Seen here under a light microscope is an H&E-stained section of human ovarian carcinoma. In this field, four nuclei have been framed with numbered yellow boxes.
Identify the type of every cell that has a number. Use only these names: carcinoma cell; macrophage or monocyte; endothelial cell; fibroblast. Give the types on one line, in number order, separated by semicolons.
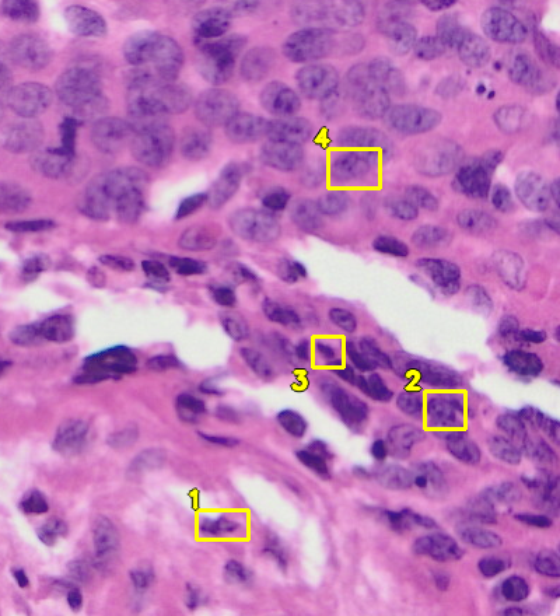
fibroblast; carcinoma cell; carcinoma cell; carcinoma cell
